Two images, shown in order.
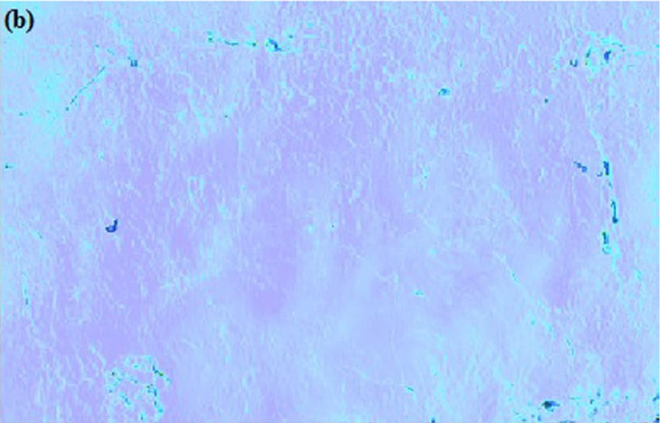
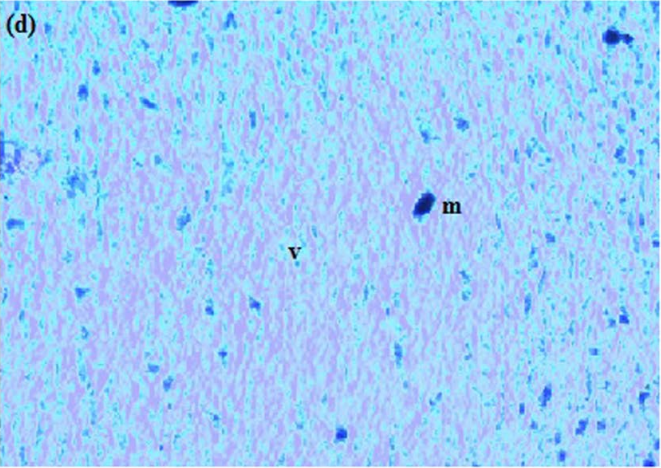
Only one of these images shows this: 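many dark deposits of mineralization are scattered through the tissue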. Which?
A: the second image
